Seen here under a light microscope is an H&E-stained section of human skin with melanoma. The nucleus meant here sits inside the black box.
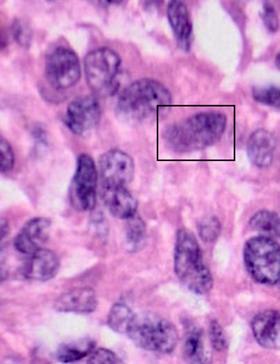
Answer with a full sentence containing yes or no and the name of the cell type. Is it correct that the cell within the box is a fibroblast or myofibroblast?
No, within this section, the cell within the box is categorized as a melanoma cell rather than a fibroblast or myofibroblast.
